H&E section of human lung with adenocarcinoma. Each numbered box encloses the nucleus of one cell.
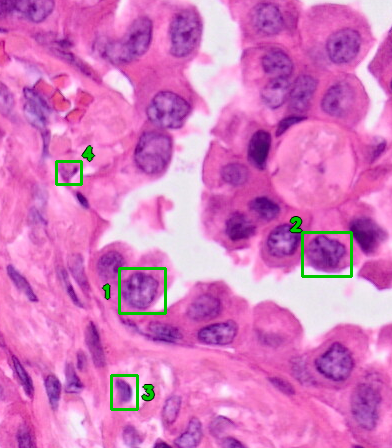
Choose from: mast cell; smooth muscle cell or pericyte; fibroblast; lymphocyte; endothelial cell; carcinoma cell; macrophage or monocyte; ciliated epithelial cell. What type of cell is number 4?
fibroblast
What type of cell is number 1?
carcinoma cell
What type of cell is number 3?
lymphocyte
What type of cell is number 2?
carcinoma cell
